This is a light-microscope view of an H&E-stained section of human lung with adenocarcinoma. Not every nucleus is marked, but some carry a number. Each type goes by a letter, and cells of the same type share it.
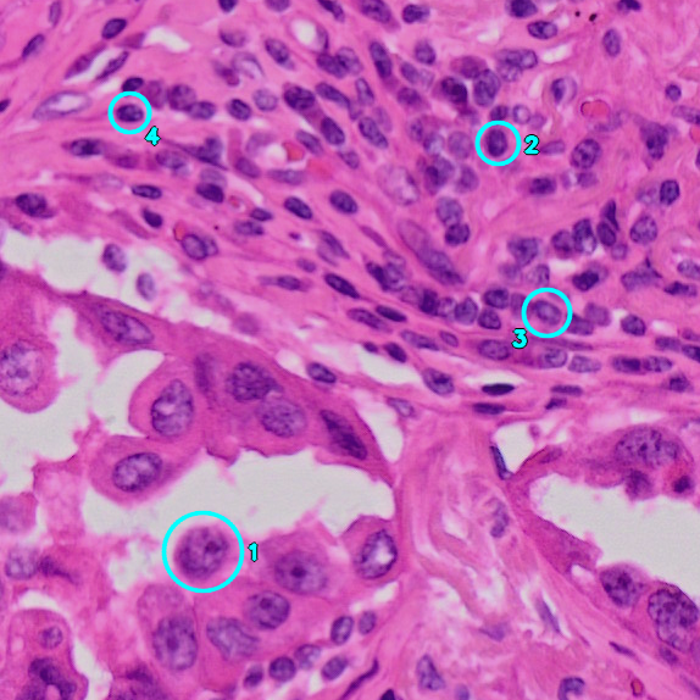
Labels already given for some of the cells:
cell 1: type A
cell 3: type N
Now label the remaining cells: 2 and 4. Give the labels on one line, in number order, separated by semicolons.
type N; type N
